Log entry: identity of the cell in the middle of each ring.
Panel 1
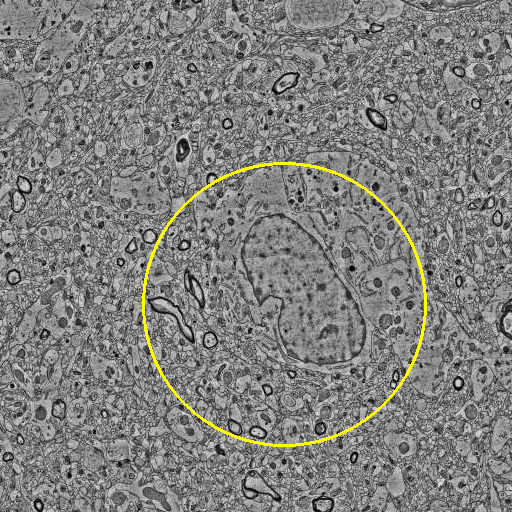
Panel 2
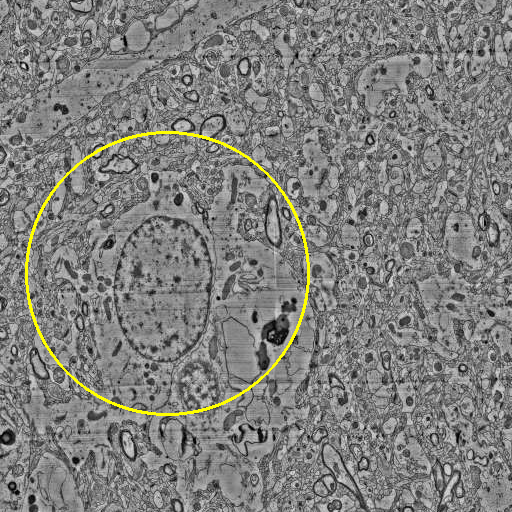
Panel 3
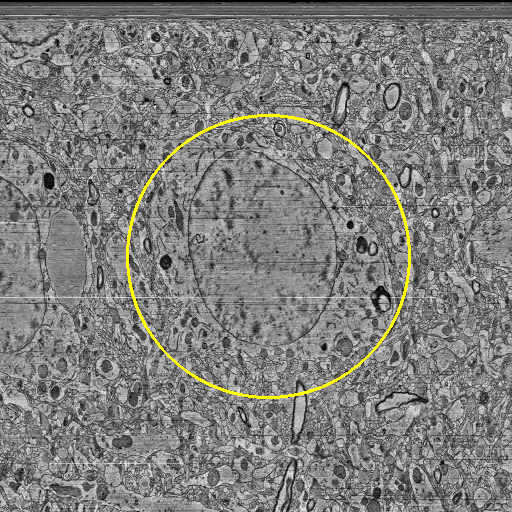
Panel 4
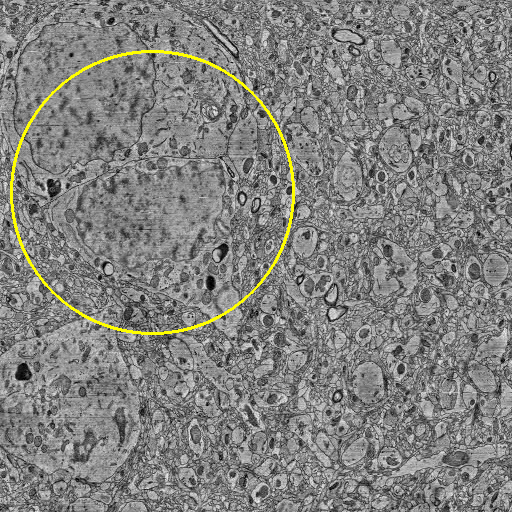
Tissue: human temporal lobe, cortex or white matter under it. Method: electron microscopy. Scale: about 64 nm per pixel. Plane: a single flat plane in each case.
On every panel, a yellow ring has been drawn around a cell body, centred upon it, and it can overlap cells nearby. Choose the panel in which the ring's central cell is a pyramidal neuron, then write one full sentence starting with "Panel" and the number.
Panel 3 shows the requested cell sitting in the middle of its ring.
